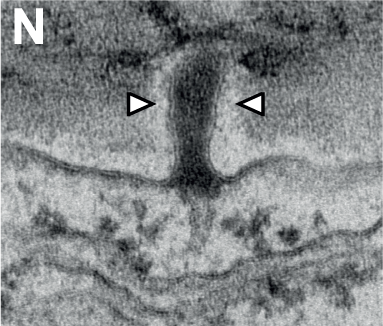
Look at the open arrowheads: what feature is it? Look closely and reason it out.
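A dark straight channel crosses the wall. The wall immediately around the channel is paler than the wall further away. So: electron-lucent cell wall collars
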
